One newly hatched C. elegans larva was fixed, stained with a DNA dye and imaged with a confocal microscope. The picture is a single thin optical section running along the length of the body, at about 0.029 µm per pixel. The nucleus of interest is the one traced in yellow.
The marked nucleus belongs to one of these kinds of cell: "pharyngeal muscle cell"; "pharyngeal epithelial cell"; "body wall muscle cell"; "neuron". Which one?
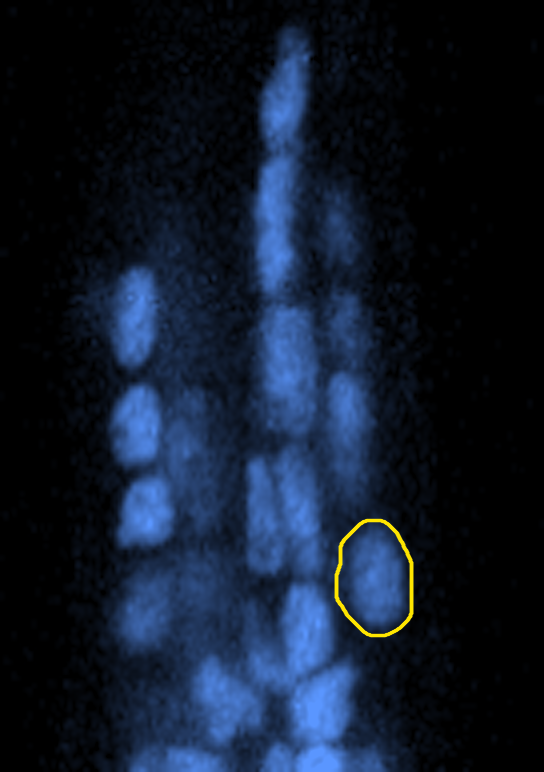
body wall muscle cell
